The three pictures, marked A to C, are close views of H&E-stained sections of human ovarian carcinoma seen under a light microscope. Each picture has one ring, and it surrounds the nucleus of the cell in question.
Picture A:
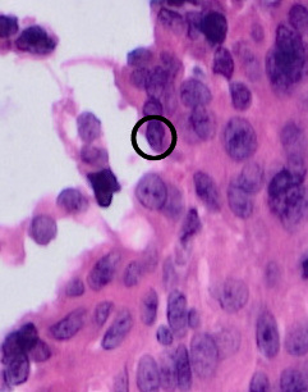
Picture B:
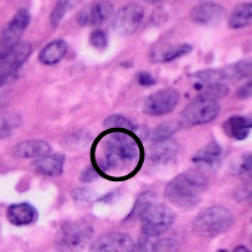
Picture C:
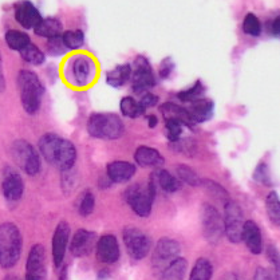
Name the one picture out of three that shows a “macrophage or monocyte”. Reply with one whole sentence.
The picture with the “macrophage or monocyte” is C.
